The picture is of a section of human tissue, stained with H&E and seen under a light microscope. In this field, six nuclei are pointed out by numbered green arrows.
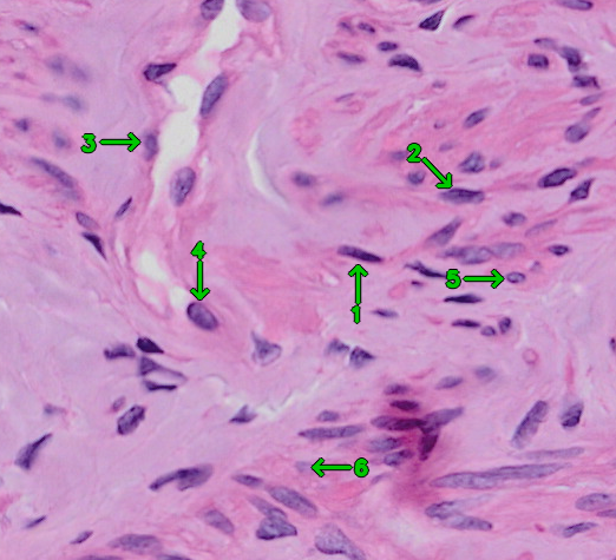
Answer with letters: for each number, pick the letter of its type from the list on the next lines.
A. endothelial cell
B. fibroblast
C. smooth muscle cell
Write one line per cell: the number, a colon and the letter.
1: C
2: C
3: A
4: A
5: C
6: C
